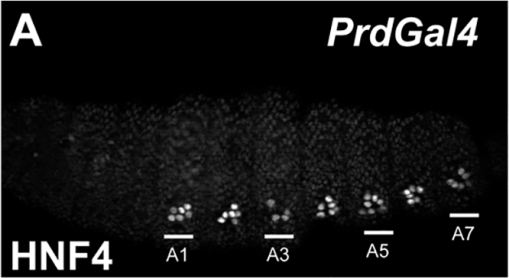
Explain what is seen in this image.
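Lateral view of a whole Drosophila embryo showing clusters of larval oenocytes as bright nuclei against a dim background. Each cluster holds a handful of rounded nuclei and the clusters are repeated one per abdominal segment, forming a row along the lateral body wall.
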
